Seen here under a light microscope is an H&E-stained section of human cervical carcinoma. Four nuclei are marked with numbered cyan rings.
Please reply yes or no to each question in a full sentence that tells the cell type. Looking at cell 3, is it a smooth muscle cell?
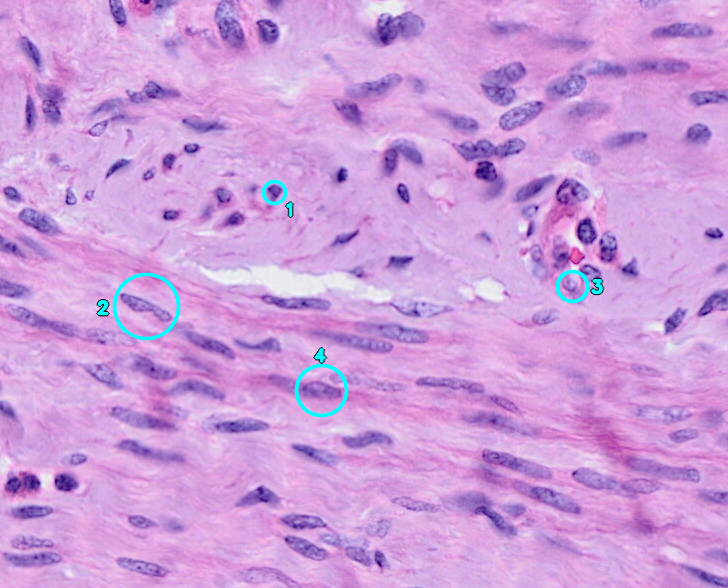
No, it is an endothelial cell, rather than a smooth muscle cell, that carries number 3.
